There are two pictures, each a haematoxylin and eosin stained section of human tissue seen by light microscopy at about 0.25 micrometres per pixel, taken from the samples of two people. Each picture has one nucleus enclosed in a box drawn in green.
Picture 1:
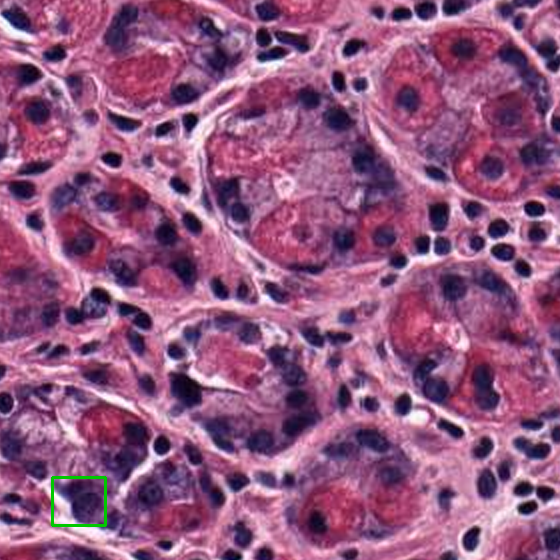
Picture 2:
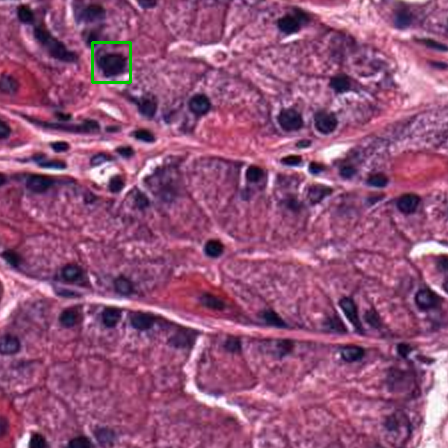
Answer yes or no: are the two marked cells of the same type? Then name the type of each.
Yes, both are chief cells.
